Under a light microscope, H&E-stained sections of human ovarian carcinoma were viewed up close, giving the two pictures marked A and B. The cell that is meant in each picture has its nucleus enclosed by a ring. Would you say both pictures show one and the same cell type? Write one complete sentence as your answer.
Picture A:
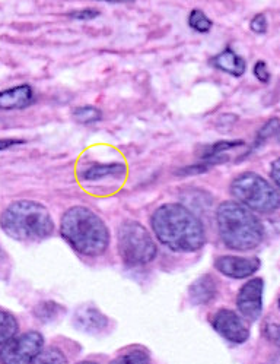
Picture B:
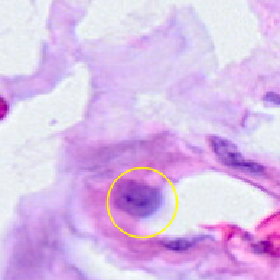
No; the cell in picture A is a fibroblast, while the one in picture B is an endothelial cell.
